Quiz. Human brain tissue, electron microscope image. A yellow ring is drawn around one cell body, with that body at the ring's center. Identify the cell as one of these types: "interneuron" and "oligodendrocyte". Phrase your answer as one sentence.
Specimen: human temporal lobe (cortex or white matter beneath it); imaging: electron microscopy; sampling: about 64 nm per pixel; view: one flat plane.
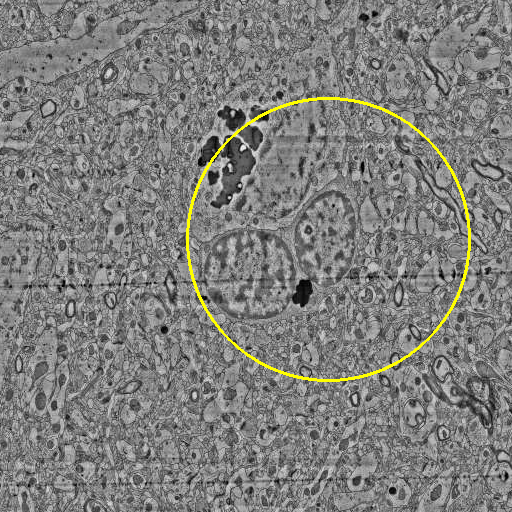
At the center of the ring sits an oligodendrocyte.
